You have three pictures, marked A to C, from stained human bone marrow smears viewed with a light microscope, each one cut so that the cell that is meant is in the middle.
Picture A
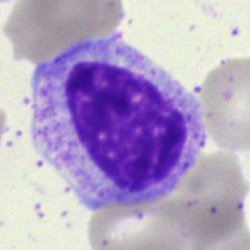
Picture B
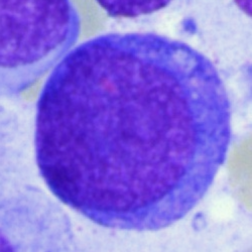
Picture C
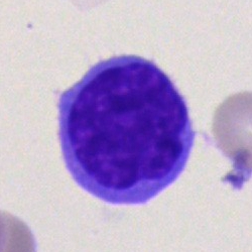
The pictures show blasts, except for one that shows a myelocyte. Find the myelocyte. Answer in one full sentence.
It is picture A that shows the myelocyte.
